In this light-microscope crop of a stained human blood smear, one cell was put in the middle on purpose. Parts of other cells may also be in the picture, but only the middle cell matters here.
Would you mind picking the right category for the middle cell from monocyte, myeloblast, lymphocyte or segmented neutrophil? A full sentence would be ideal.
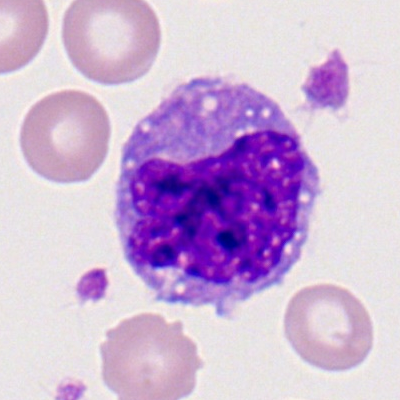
The central element of this crop is a cell, namely a monocyte.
